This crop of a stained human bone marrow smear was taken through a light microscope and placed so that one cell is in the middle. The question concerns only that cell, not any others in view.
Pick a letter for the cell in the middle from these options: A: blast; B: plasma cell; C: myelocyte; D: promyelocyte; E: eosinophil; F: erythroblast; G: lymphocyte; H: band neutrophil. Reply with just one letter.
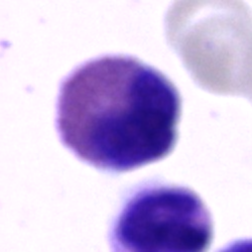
E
